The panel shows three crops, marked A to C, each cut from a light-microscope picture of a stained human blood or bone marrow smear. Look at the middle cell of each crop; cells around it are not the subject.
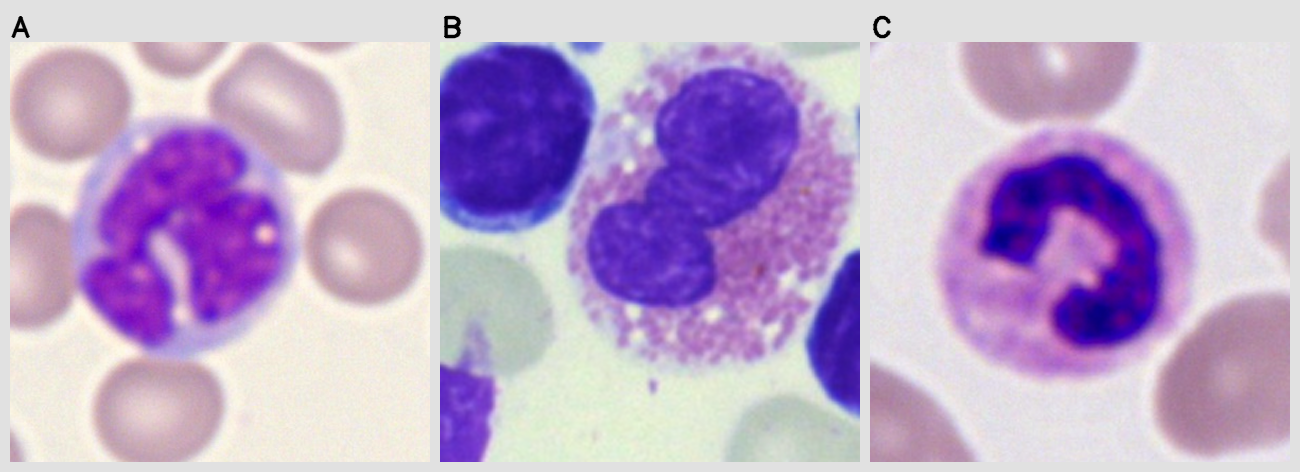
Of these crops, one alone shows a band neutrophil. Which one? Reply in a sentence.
The crop in which a band neutrophil is shown is crop C.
